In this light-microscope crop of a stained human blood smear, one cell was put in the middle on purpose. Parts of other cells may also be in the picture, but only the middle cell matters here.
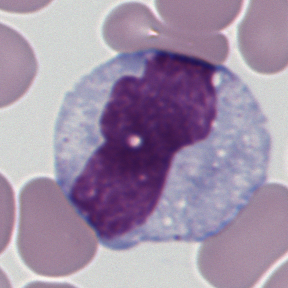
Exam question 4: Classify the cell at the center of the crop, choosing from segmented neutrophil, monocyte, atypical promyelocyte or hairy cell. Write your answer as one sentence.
The central cell, amid any neighbouring cells, is a monocyte.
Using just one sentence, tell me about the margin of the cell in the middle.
The membrane contour is even and smooth, with nothing projecting from it.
